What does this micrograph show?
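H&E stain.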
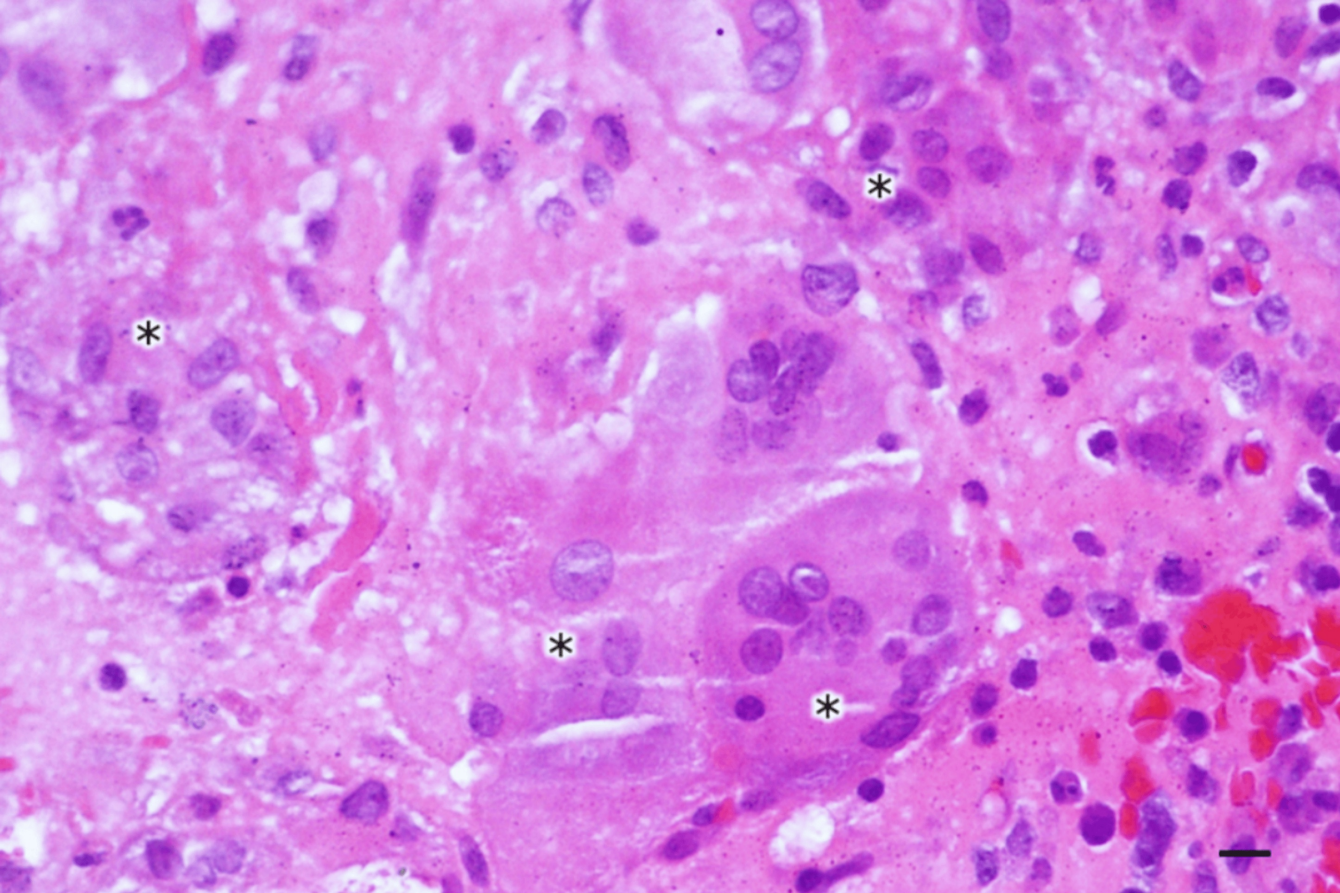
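This section shows a granuloma built from several multinucleated giant cells that lie close together and appear to merge. Each giant cell has a broad body of pale pink cytoplasm holding a cluster of oval, pale purple nuclei with fine chromatin. Around and between them are many smaller cells with dark, round nuclei, and at the lower right there is a patch of bright red blood cells. The background is pink and partly granular or vacuolated, with some clear spaces between the cells.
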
